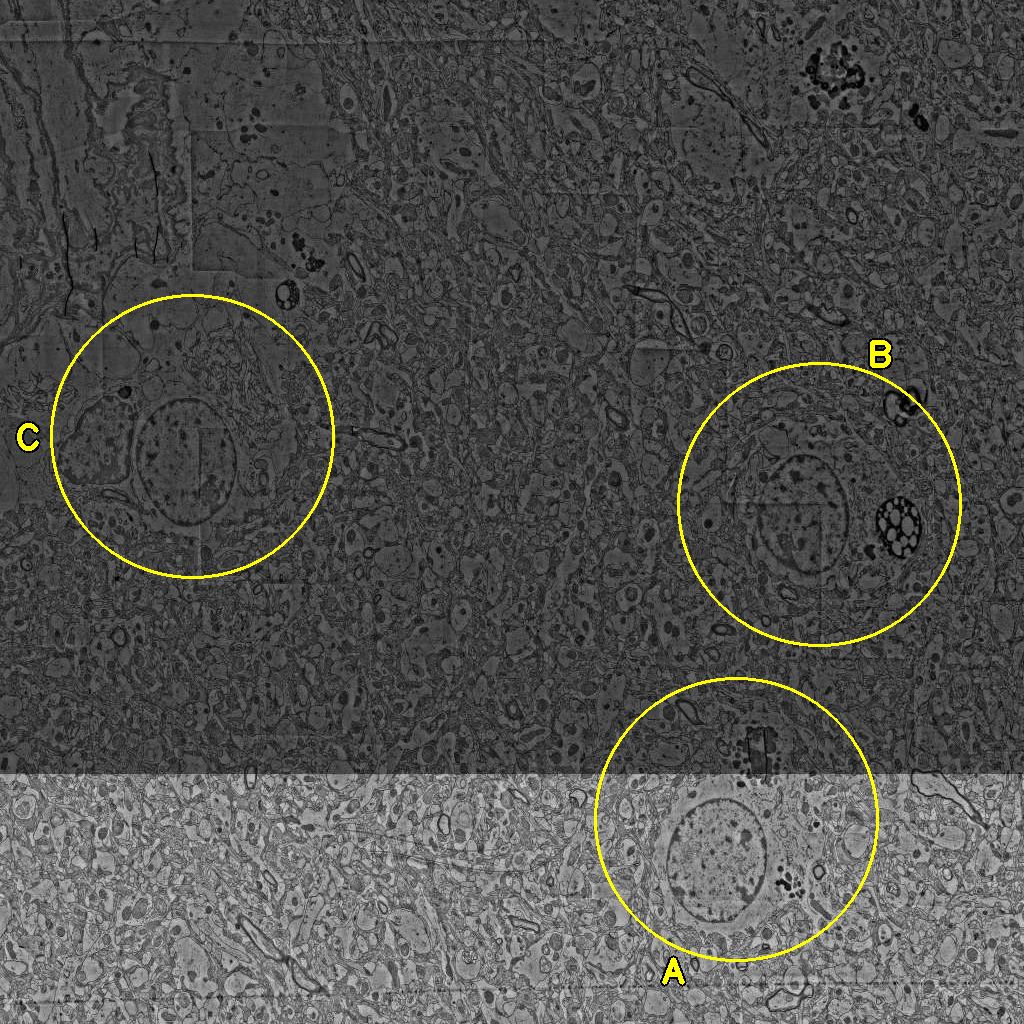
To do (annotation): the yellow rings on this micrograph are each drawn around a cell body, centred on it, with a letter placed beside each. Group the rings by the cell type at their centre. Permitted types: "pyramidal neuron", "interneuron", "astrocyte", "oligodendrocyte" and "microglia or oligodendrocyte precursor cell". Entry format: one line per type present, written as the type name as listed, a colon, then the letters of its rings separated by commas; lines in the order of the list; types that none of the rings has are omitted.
astrocyte: A, B, C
